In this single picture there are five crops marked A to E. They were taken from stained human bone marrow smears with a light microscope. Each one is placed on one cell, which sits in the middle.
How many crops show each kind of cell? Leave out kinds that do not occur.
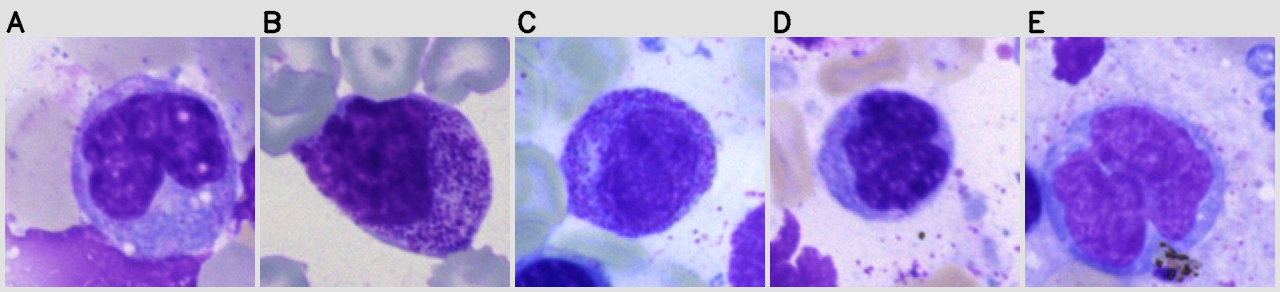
monocyte: 3
myelocyte: 2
